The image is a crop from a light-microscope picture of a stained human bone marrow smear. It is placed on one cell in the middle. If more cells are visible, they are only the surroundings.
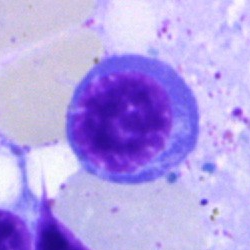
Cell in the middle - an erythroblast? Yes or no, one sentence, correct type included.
Yes, the centered cell in this field is an erythroblast.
